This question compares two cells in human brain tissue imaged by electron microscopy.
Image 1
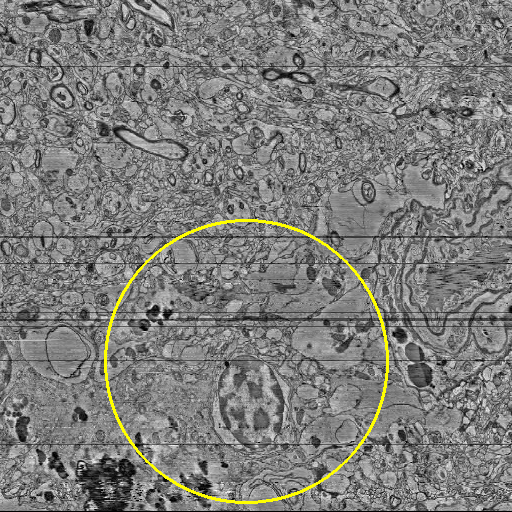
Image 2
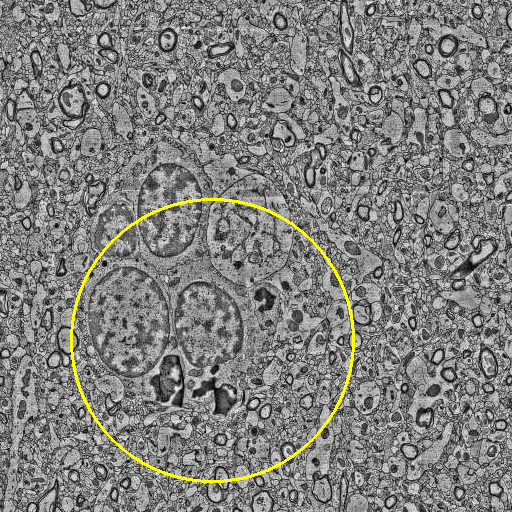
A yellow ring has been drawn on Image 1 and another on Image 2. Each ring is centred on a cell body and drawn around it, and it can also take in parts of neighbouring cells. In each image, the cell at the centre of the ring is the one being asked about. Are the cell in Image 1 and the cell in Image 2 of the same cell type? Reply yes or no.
no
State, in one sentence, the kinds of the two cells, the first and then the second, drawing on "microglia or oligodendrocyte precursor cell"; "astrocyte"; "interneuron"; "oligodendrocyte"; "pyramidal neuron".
The ring in the second picture is centred on an oligodendrocyte, the ring in the first on a microglial cell or oligodendrocyte precursor cell.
